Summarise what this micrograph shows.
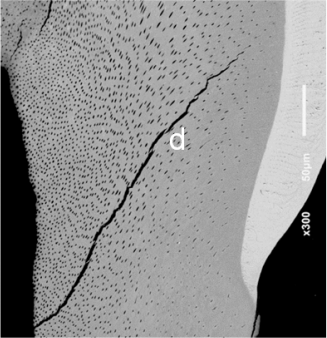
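A thin dark crack runs diagonally across the dentin. On the right the brighter white enamel forms a separate layer with a fine striated texture.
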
